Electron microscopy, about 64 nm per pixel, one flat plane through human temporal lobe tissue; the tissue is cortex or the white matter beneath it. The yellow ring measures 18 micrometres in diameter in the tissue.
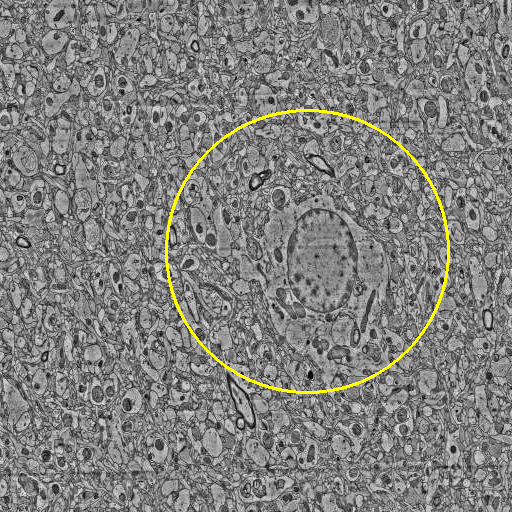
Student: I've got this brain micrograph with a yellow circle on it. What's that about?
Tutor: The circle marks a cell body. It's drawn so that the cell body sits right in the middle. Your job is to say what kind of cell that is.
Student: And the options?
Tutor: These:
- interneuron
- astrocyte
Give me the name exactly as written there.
astrocyte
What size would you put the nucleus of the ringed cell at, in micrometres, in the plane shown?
Approximately 7 micrometres long and 4 micrometres wide, in this plane.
